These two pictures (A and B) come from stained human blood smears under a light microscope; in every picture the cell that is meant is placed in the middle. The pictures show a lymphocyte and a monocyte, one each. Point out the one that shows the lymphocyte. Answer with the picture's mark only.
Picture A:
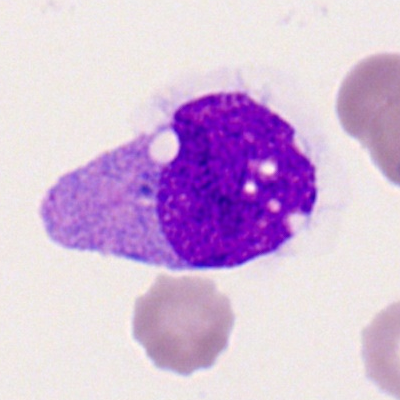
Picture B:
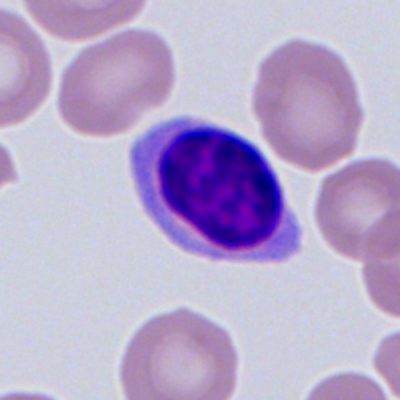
B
